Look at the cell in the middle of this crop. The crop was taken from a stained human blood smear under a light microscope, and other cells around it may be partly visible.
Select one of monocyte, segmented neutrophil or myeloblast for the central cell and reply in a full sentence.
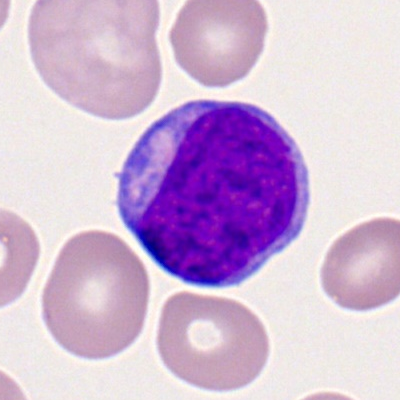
At the middle of the frame sits a myeloblast.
